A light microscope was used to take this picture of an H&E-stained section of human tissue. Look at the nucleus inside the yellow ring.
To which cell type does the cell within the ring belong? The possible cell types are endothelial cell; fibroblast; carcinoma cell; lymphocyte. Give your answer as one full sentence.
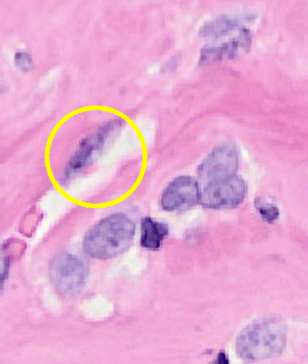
As classified here, the cell within the ring is an endothelial cell.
